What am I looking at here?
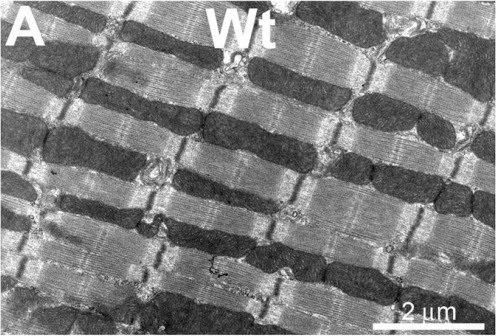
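Heart muscle cell cut lengthwise, showing myofibrils flanked by mitochondria in a highly ordered pattern. The myofibrils run as parallel striated bands crossed at regular intervals by thin dark transverse lines. Between neighbouring bands lie rows of dark, elongated mitochondria, each roughly the length of one repeat of the striation. The overall arrangement is regular and alternating, with no disordered areas.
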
